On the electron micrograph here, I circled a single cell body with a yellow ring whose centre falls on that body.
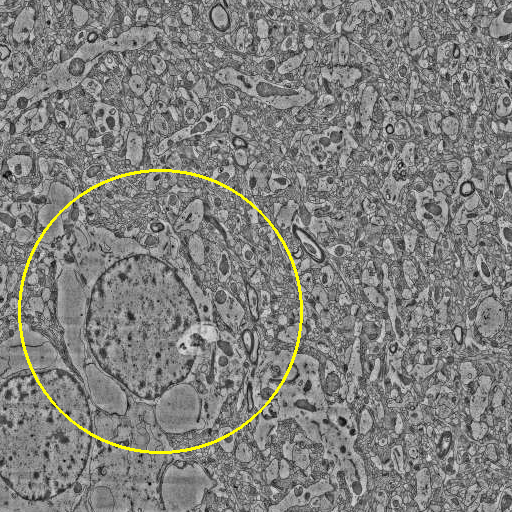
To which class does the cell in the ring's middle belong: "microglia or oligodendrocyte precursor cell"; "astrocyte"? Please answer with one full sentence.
In this picture, the cell body circled at the ring's centre belongs to an astrocyte.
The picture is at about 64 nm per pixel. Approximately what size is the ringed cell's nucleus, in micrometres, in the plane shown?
In this plane the nucleus measures roughly 9 by 7 micrometers.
